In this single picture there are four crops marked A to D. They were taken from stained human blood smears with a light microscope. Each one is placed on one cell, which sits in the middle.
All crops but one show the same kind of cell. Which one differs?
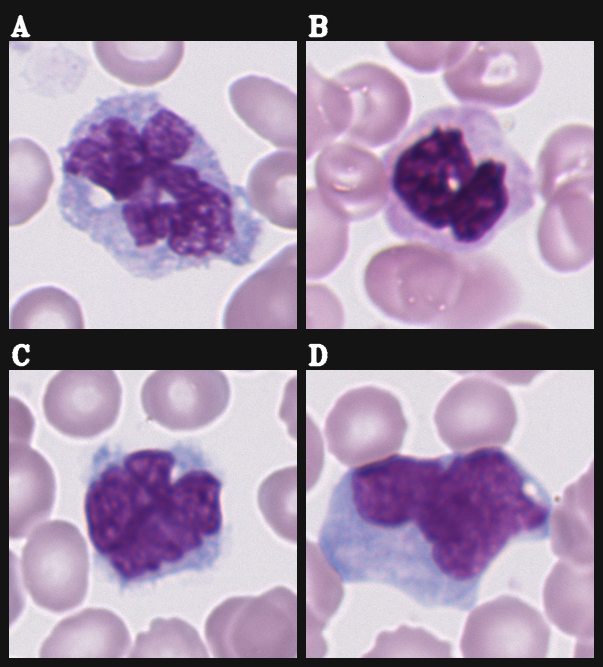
B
